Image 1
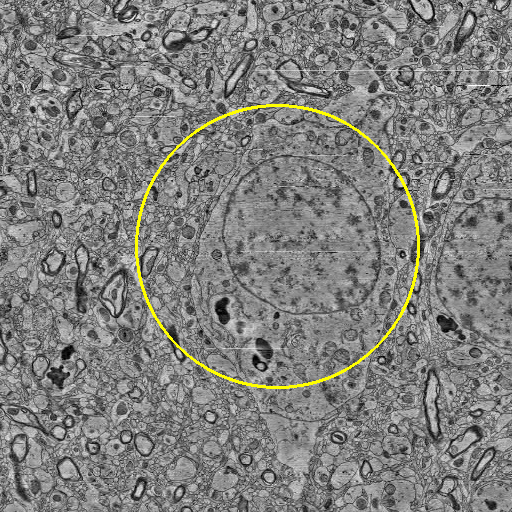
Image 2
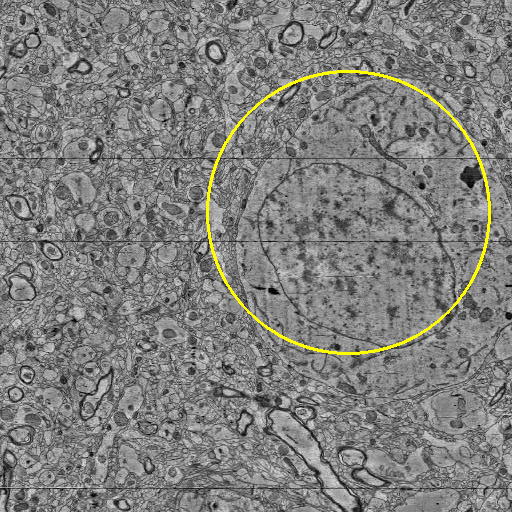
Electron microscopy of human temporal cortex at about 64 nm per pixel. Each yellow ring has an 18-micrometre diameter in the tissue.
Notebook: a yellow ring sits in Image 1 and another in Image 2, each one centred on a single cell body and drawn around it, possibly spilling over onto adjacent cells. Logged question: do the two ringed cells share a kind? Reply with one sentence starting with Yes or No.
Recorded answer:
No, the centre cells inside the rings of Image 1 and Image 2 are of two kinds.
